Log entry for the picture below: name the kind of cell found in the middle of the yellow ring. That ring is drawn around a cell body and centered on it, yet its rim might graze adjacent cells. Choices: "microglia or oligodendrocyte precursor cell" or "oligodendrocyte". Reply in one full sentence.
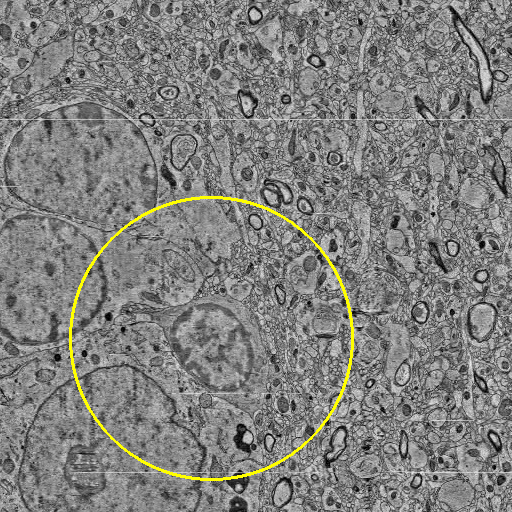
The cell in the middle of the yellow ring in this picture is an oligodendrocyte.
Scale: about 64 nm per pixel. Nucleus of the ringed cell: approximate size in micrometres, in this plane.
The ringed cell's nucleus is about 6 micrometres long and 5 micrometres wide in this plane.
